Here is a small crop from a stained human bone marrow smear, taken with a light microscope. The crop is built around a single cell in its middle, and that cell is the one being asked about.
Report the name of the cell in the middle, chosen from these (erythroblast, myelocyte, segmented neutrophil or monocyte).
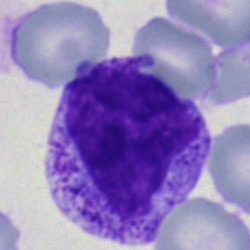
myelocyte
